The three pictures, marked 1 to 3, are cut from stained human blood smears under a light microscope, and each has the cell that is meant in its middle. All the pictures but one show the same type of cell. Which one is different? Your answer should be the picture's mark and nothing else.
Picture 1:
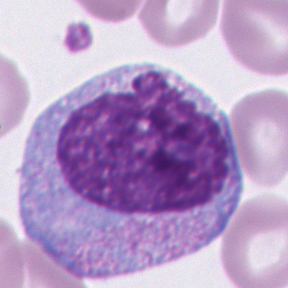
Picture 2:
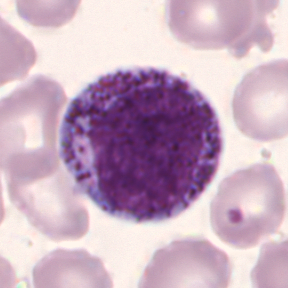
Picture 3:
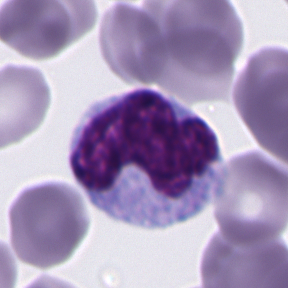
3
